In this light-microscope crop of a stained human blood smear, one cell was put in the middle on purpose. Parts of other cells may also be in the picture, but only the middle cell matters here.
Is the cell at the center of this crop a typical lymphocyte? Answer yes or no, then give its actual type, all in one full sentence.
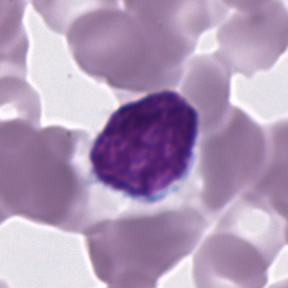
Yes, at the centre of the crop lies a typical lymphocyte.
